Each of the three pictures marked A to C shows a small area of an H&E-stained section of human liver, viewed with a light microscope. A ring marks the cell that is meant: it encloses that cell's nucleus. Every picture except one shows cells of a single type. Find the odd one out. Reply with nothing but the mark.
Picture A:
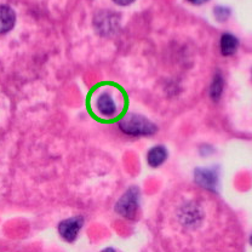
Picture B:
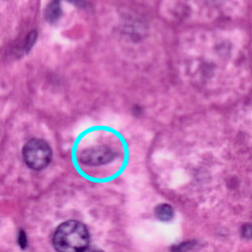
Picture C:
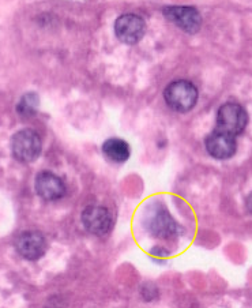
A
